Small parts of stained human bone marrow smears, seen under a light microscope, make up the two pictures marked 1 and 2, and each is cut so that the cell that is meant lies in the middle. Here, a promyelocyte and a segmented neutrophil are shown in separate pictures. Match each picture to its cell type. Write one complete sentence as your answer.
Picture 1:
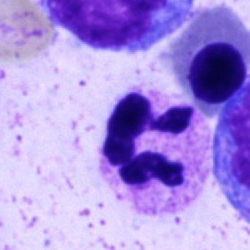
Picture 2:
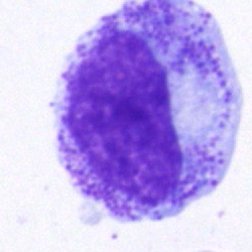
Picture 2 shows a promyelocyte, while picture 1 shows a segmented neutrophil.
